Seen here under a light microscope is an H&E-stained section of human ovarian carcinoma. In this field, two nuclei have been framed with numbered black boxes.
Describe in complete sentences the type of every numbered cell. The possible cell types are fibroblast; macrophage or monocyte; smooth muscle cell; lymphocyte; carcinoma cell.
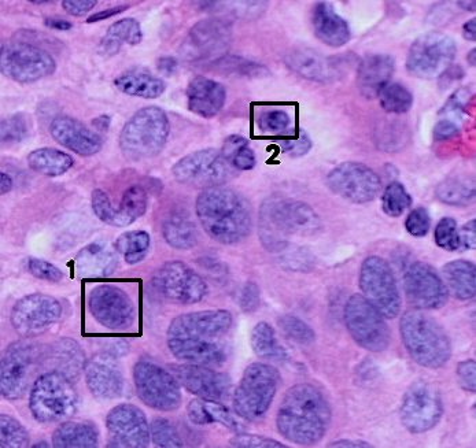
Cell 1 is a carcinoma cell and cell 2 is a lymphocyte.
